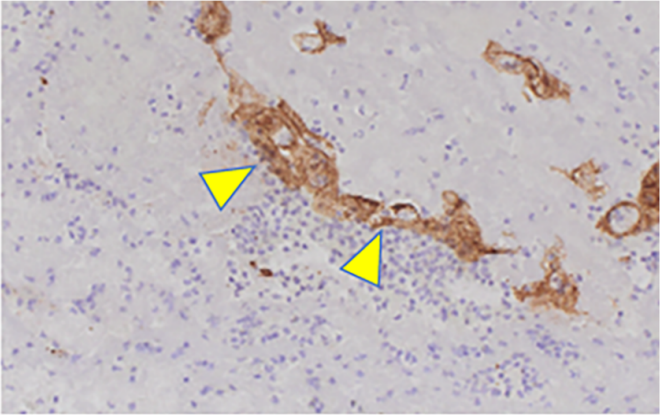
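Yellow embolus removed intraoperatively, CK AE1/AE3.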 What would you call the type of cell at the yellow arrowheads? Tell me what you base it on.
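Epithelial carcinoma cells. A band of cells with strong brown cytoplasmic staining lies at the arrowheads. The brown-stained cells form cohesive clusters. Surrounding small blue nuclei are unstained.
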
